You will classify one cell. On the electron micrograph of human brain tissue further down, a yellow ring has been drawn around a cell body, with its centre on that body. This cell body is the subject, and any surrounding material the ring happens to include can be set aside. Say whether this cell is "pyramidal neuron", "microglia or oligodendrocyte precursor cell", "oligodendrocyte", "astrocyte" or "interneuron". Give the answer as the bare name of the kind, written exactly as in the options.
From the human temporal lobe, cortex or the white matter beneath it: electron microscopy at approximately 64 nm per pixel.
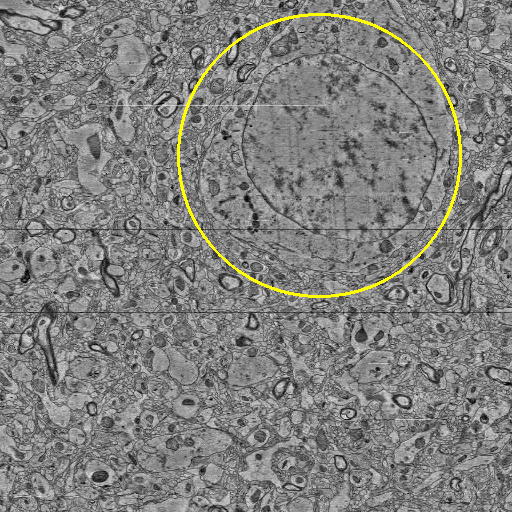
pyramidal neuron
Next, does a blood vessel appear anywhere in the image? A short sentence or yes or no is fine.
No, no blood vessel shows in the picture.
